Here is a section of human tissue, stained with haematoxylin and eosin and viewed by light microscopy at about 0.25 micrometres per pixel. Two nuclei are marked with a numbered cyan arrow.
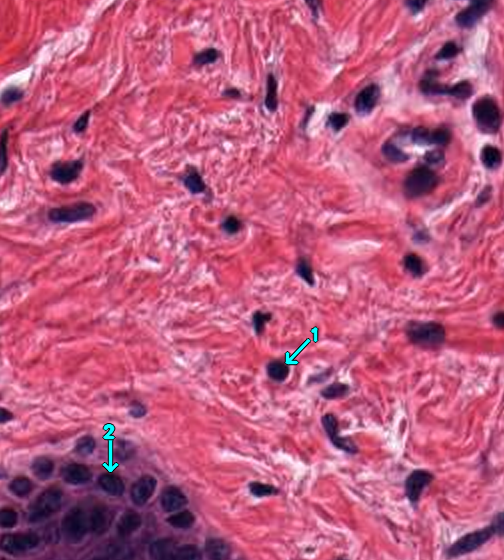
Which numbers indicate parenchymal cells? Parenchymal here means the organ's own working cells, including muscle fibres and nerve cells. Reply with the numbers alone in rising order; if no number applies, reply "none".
2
